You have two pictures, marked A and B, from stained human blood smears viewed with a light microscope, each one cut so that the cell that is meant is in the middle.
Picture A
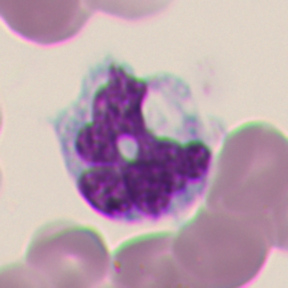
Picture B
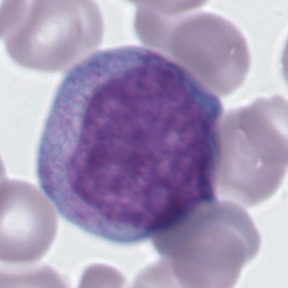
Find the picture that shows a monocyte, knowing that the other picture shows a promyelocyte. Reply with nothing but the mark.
A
